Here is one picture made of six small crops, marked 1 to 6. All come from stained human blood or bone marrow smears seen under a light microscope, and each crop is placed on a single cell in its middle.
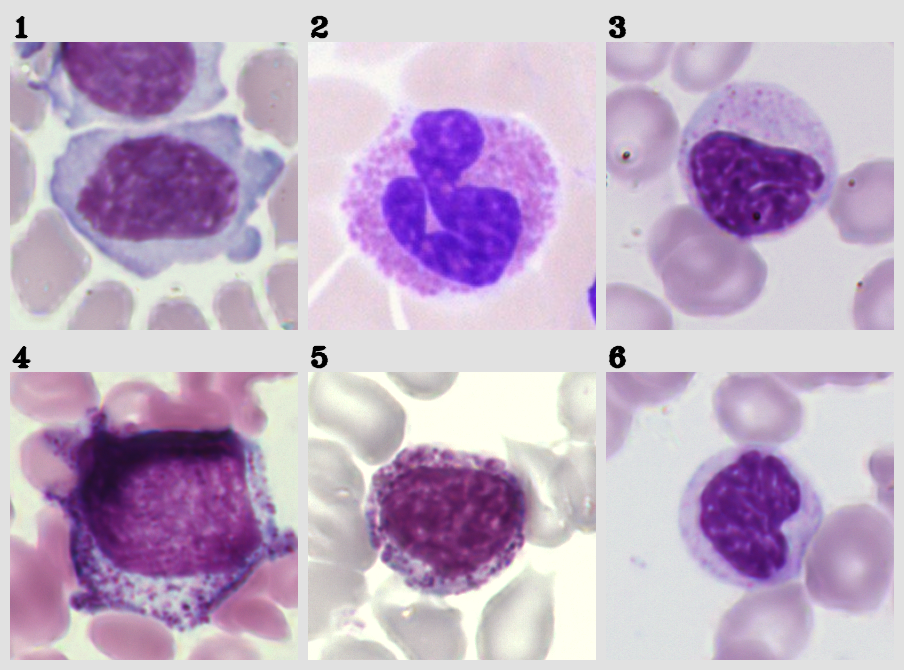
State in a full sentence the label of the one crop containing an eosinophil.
Within this set, crop 2 is the one with an eosinophil at its center.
